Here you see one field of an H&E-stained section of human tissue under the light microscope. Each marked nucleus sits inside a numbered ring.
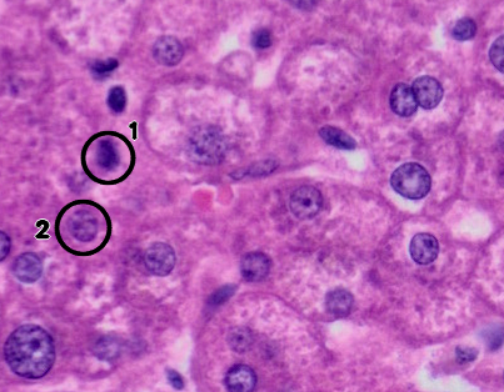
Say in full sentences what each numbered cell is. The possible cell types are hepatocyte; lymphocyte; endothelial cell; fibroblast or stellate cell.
Cell 1 is a fibroblast or stellate cell and cell 2 is a hepatocyte.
